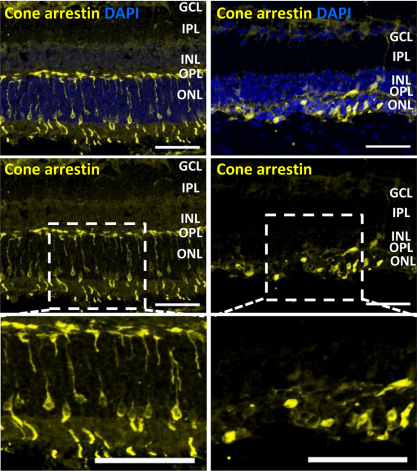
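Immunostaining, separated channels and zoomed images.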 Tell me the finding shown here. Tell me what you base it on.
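In the right column the outer nuclear layer is much thinner than in the left. In the right column the yellow cells are short, scattered and lack the long vertical processes seen on the left. The answer: degenerative features in the photoreceptors.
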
